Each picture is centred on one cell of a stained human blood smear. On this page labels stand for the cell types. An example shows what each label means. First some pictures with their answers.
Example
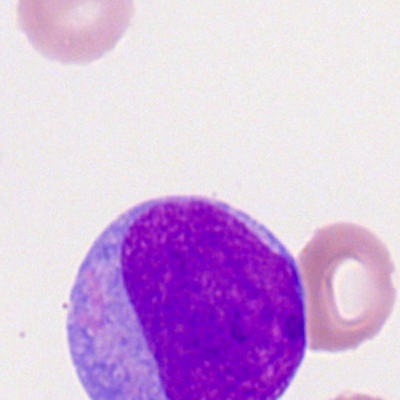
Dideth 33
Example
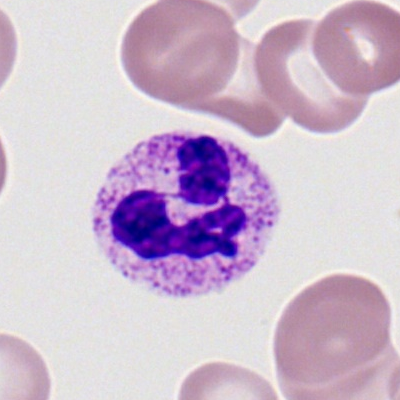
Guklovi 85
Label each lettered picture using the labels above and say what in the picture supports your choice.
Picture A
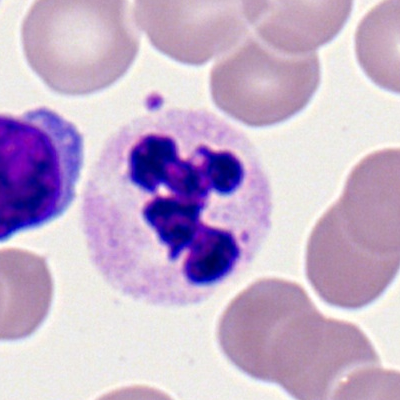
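Guklovi 85. Evidence: The cytoplasm is abundant and pale pinkish-lilac.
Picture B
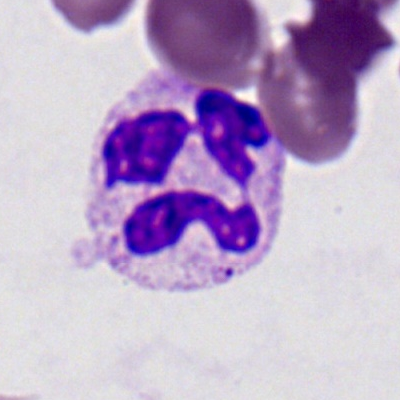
Guklovi 85. Evidence: The nucleus is divided into three separate lobes.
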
